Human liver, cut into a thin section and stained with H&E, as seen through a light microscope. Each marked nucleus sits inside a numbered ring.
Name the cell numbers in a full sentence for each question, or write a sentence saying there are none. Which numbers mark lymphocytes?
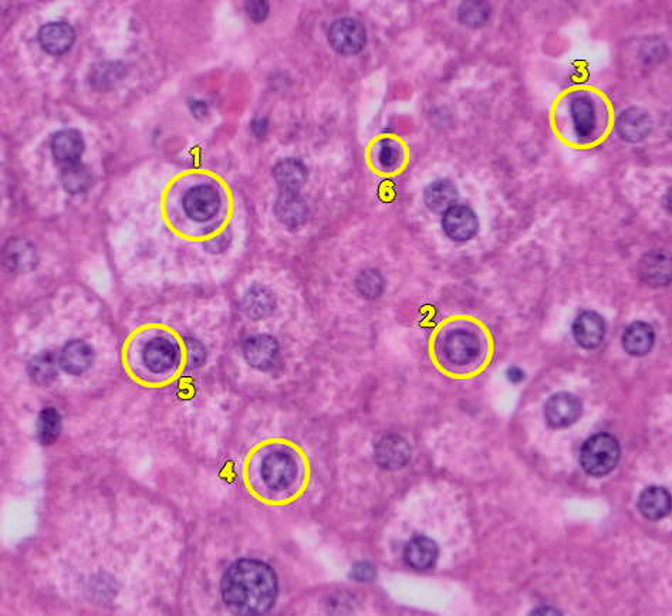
Only the cell numbered 6 qualifies as a lymphocyte among the marked cells.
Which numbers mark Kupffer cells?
Only cell 3 qualifies as a Kupffer cell among the numbered cells.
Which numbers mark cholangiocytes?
The count of cholangiocytes among the numbered cells is zero.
